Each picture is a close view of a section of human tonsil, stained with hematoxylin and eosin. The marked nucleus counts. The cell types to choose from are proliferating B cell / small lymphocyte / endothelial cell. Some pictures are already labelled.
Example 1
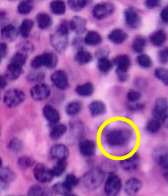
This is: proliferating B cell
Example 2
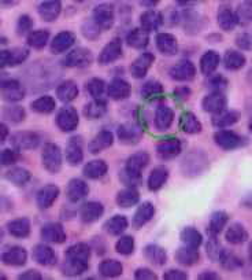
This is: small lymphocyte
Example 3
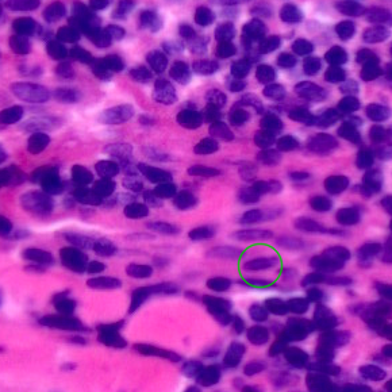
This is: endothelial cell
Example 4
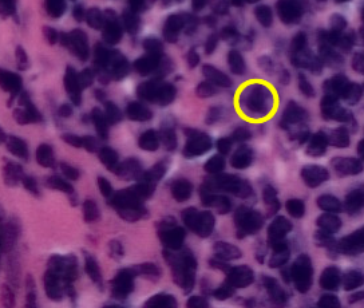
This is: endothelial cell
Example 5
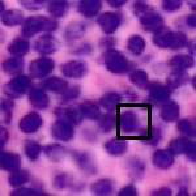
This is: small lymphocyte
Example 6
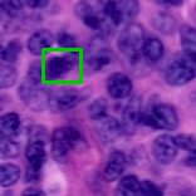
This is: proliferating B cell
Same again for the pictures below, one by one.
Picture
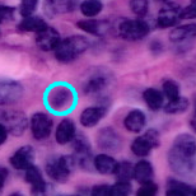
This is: endothelial cell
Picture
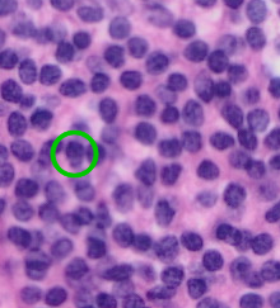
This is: small lymphocyte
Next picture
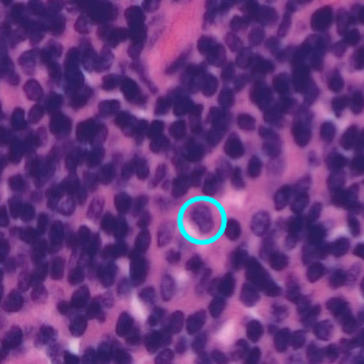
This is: endothelial cell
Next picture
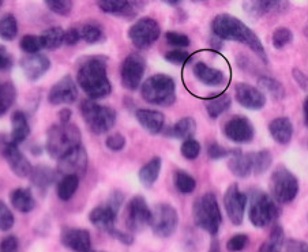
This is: proliferating B cell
